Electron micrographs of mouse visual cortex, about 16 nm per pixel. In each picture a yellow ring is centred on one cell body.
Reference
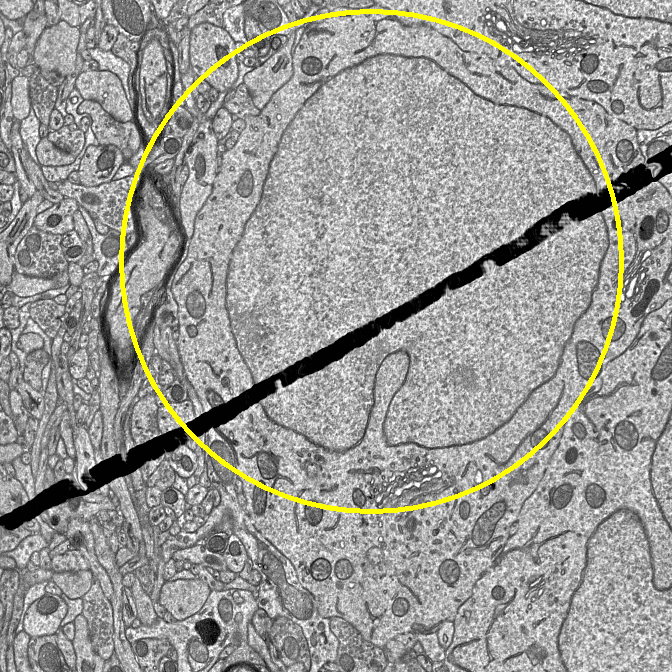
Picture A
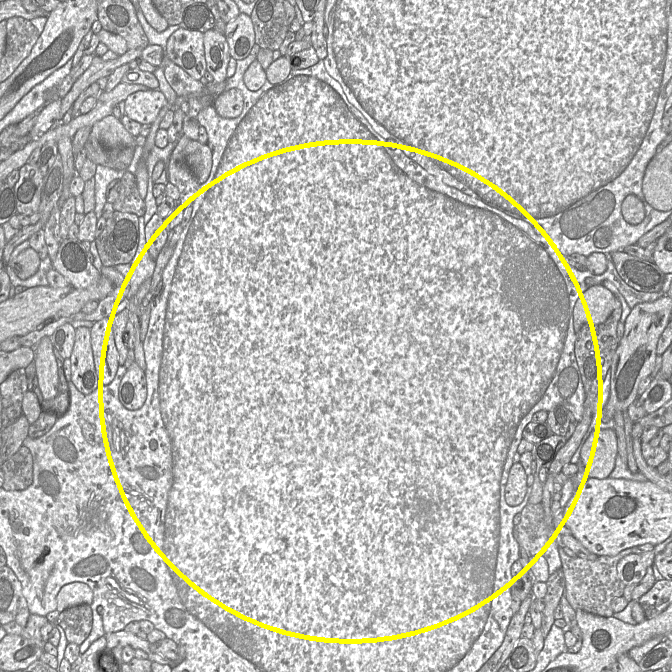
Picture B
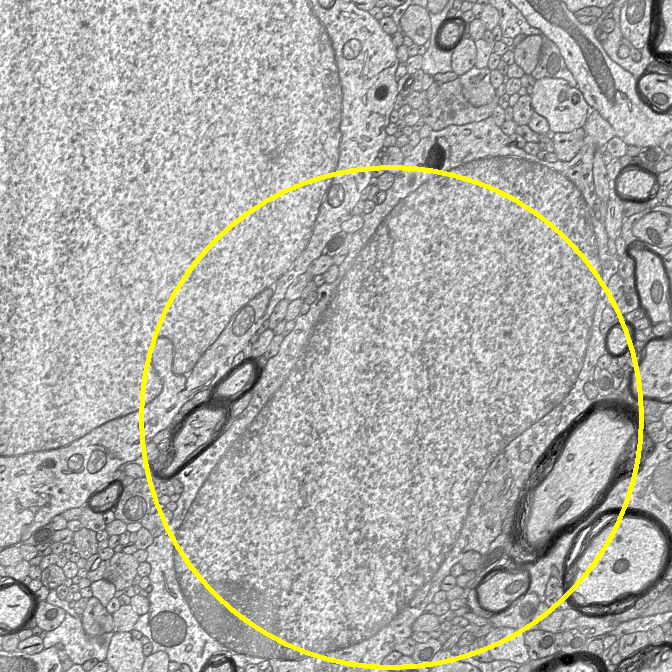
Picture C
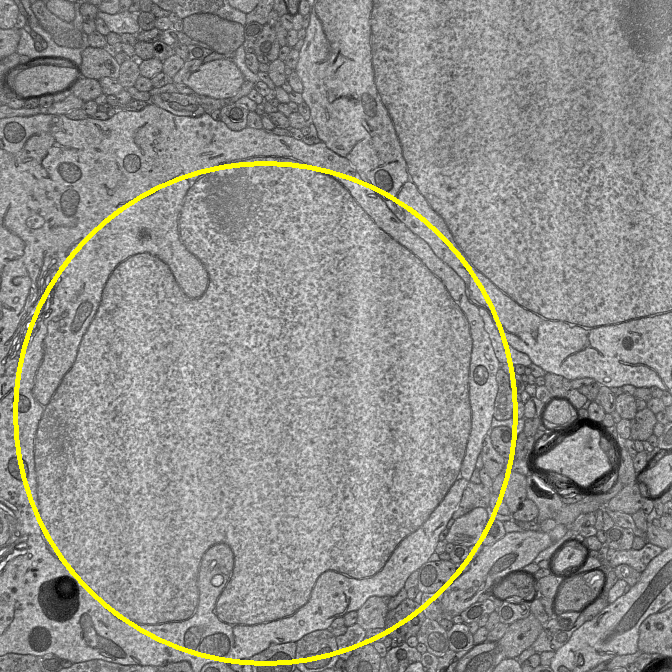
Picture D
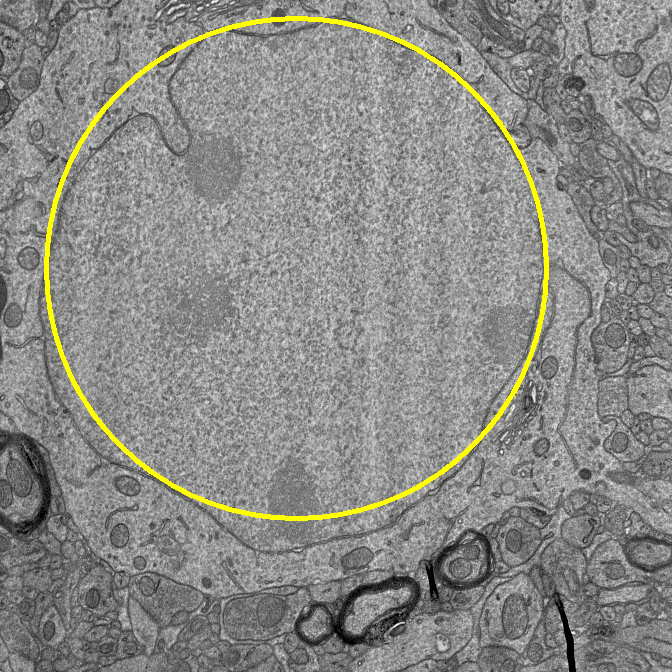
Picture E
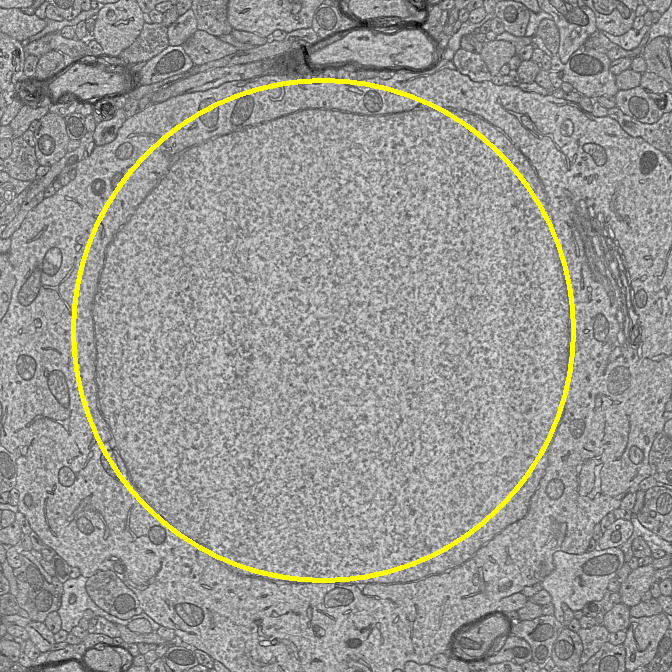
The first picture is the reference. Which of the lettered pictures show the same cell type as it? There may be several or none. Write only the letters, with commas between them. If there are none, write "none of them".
C, D, E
